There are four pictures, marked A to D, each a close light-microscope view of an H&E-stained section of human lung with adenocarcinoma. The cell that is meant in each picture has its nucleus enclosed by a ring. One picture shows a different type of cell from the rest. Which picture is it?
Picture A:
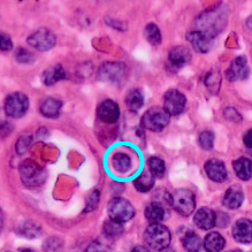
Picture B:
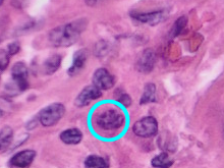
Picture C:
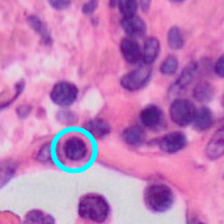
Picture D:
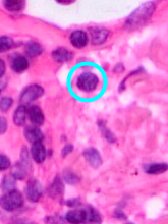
B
